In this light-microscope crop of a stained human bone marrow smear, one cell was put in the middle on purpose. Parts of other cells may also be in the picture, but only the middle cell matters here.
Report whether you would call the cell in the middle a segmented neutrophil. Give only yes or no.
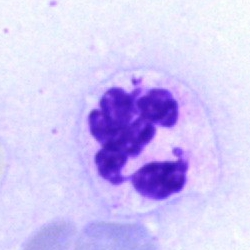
yes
